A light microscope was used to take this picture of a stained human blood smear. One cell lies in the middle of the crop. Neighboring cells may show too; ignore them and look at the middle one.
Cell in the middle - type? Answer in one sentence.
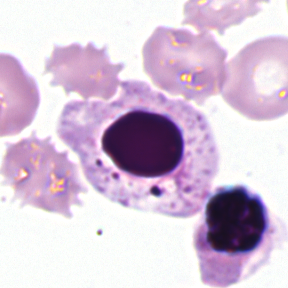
The crop centres on a single cell, and that cell is an erythroblast.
